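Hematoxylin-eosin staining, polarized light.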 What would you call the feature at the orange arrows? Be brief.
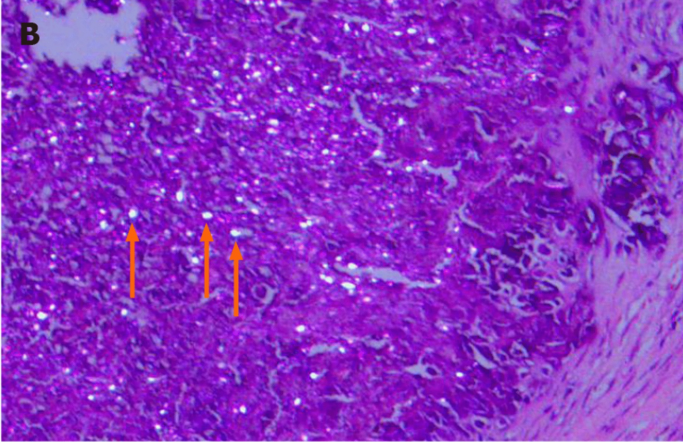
Crystalline material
